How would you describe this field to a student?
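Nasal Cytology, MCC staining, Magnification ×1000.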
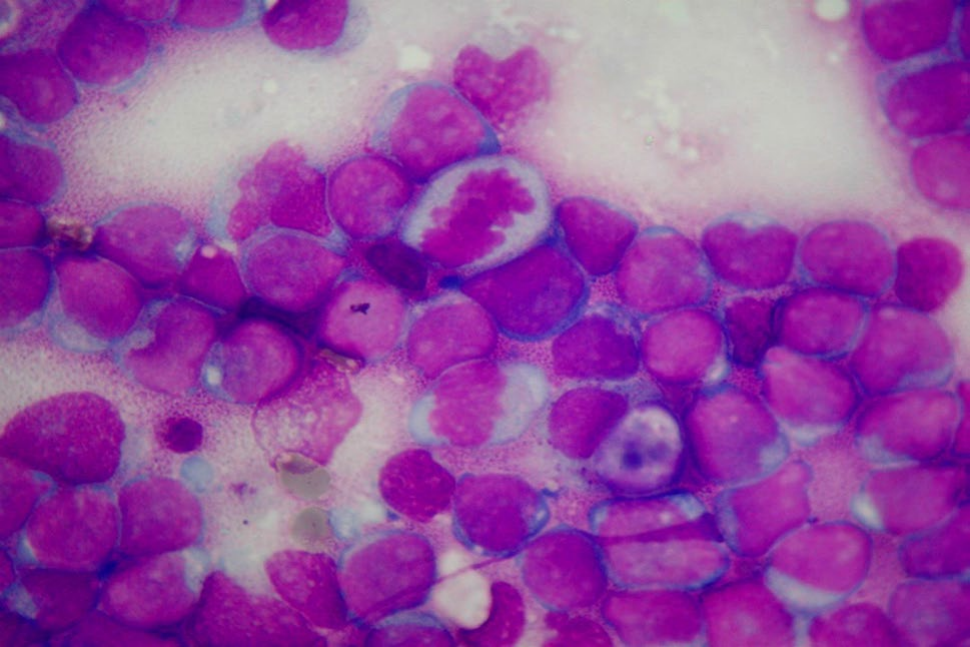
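The cells are round to slightly angular, each with a large magenta-purple nucleus and only a thin rim of pale blue cytoplasm. Many nuclei are irregular in outline, some notched or indented, and their chromatin is unevenly stained. Near the upper centre, one cell is in mitosis, its condensed chromatin lying as a dark band across a pale cell body, and another dividing cell can be seen lower in the middle of the field. Such irregular nuclei and dividing cells point to an abnormal lymphoid population rather than a simple reactive infiltrate.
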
